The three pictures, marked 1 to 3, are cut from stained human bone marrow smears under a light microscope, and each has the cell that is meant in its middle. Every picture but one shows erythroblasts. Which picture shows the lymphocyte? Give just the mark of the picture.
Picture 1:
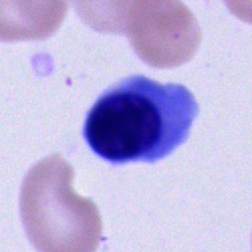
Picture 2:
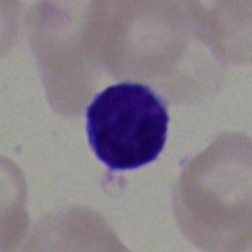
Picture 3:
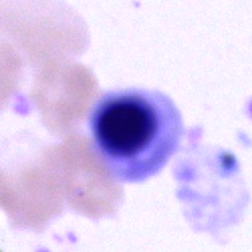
2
